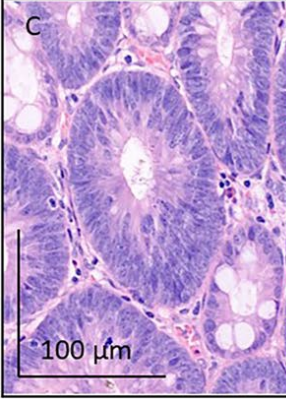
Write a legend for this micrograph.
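This shows colorectal crypts cut in cross-section with pseudostratified epithelium. The central crypt is a ring of tall columnar cells around a small lumen. Their nuclei are elongated, dark purple and crowded, lying at different heights rather than in one neat row at the base. Goblet cells with pale clear mucin are scarce in this crypt but still seen in a neighbouring one at lower right. Thin pink stroma with a few small cells separates the crypts.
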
